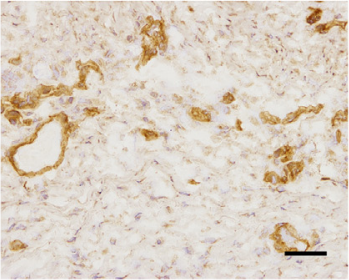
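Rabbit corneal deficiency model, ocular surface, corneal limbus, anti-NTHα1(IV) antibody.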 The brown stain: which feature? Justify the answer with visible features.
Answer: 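Vascular basement membrane. Brown stain outlines small vessel profiles with lumens. A large ring of brown stain surrounds an empty lumen at lower left. The surrounding stroma is largely pale.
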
